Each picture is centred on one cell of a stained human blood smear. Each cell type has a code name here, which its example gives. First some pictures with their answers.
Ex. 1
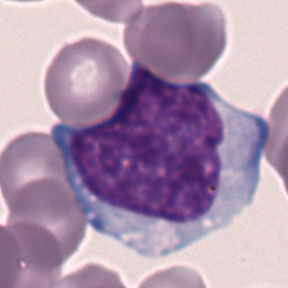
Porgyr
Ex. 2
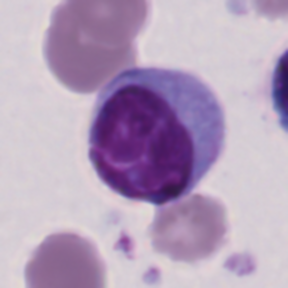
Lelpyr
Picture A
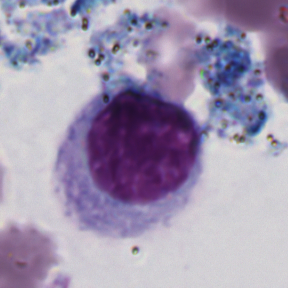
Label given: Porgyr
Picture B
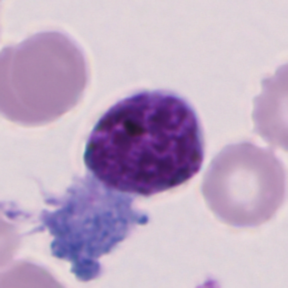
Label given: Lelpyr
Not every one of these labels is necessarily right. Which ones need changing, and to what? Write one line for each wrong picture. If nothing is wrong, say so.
A: Lelpyr, not Porgyr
